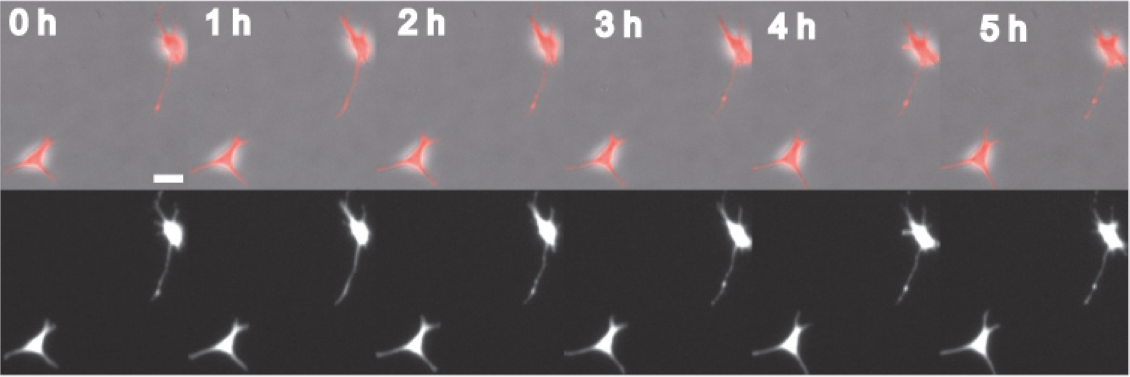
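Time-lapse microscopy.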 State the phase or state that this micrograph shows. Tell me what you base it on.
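Both cells have several thin branching processes. The cell shapes are much the same in every frame. That points to this answer: dendritic cell morphology.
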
